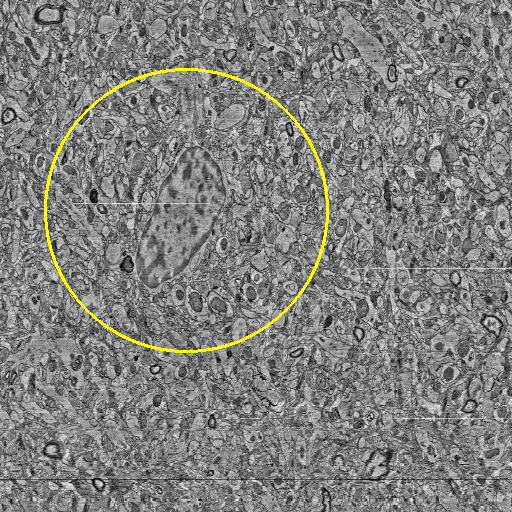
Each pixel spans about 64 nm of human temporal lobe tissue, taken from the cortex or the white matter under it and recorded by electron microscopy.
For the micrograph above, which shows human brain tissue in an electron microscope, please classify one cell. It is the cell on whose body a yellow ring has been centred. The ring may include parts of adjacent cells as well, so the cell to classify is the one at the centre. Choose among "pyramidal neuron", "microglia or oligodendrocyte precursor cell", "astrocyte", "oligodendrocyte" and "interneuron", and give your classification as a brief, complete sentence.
I classify this cell as a microglial cell or oligodendrocyte precursor cell.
